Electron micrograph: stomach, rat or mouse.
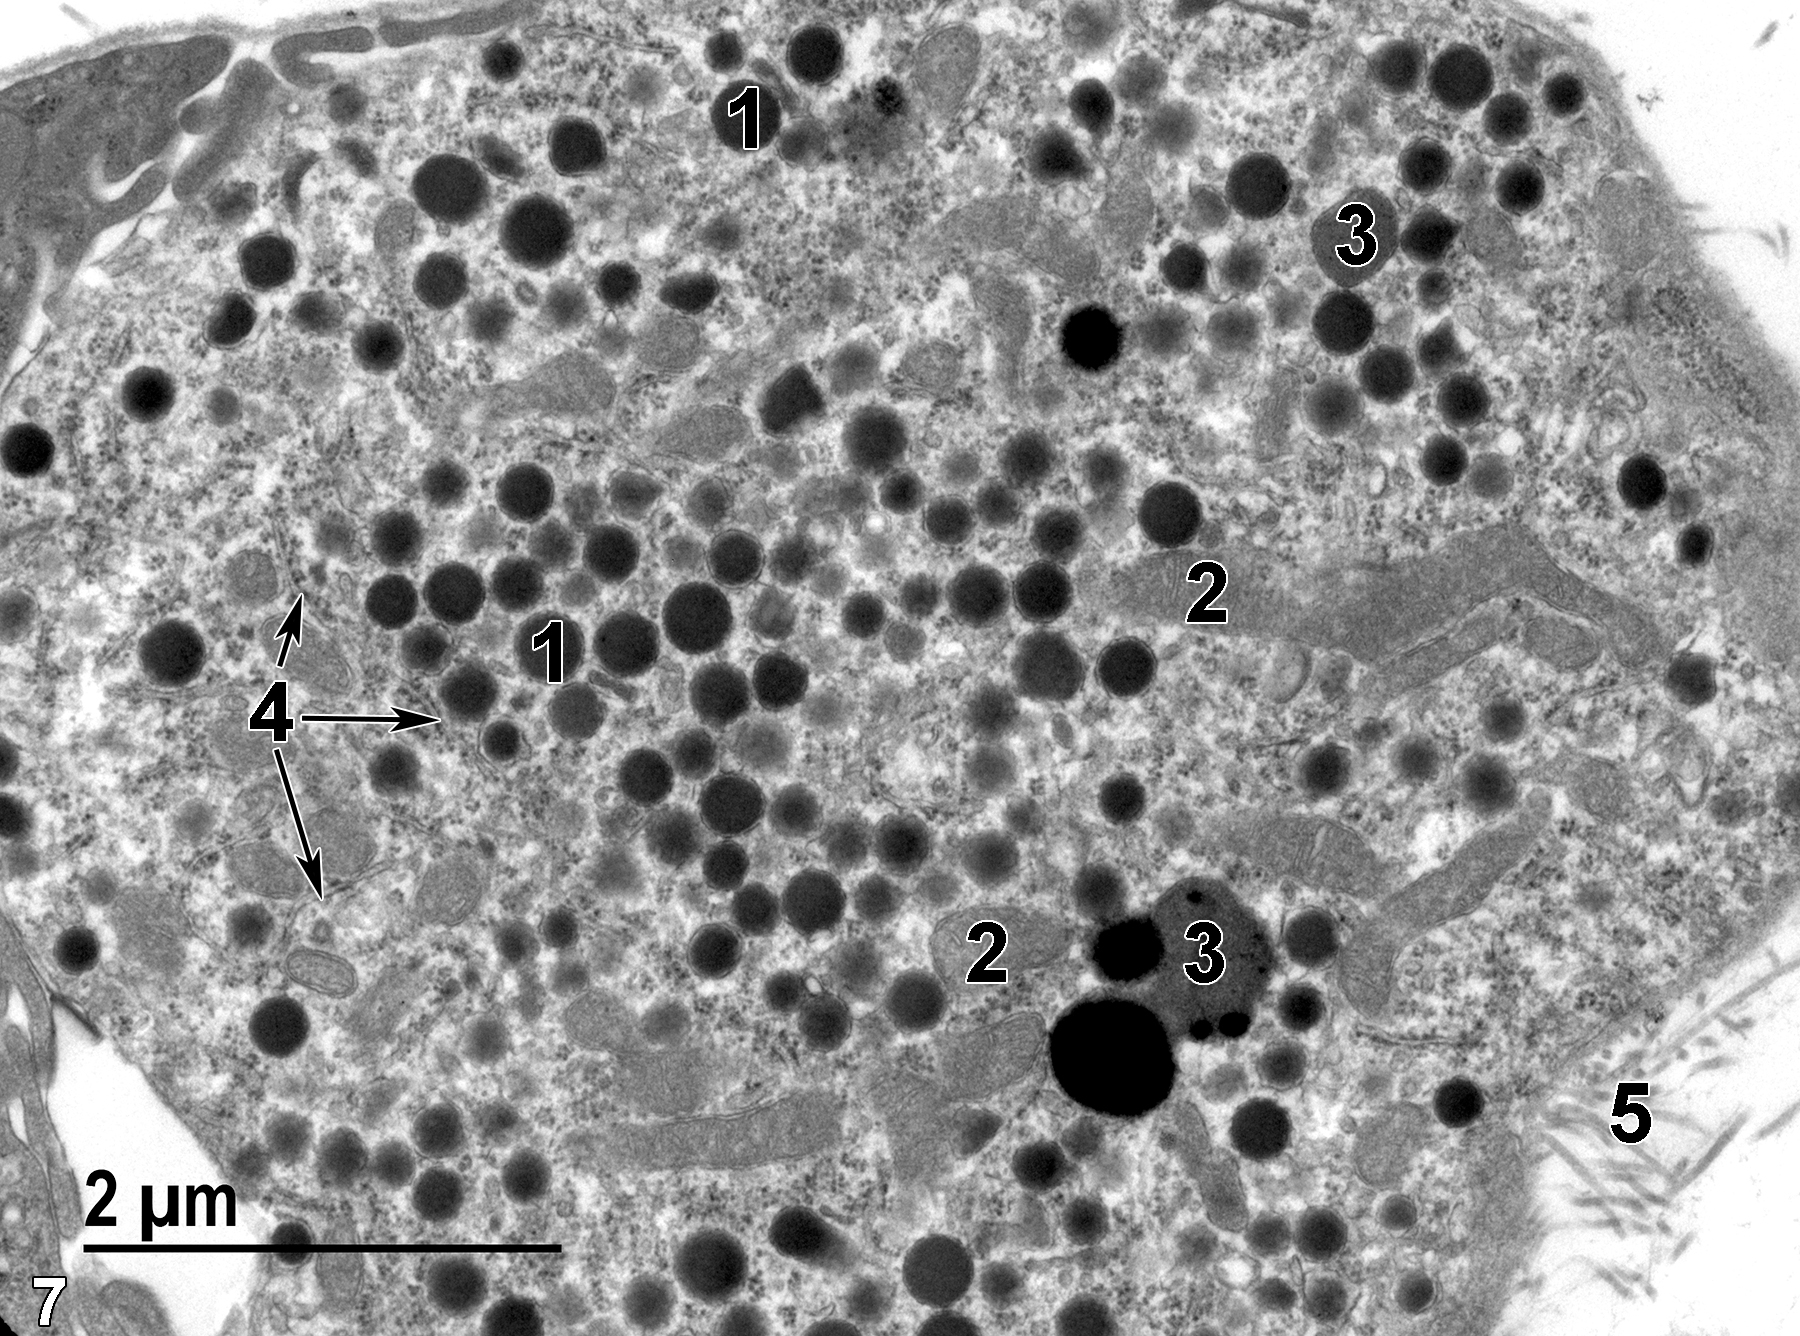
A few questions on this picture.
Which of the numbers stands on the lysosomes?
3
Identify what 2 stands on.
Mitochondria.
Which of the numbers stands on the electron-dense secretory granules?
1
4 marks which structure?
4 marks the rough endoplasmic reticulum.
